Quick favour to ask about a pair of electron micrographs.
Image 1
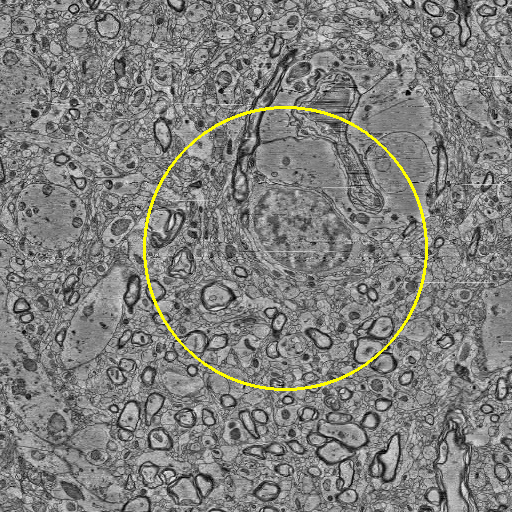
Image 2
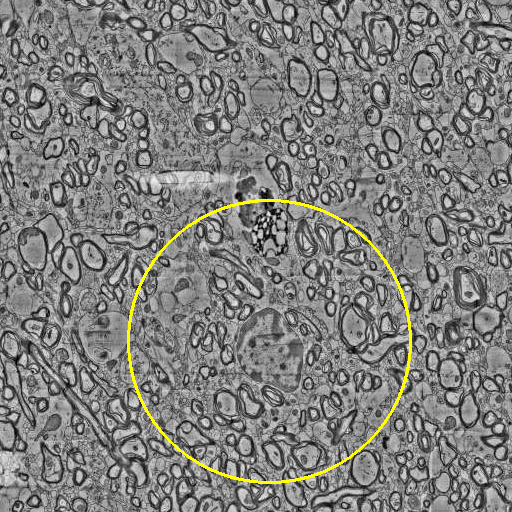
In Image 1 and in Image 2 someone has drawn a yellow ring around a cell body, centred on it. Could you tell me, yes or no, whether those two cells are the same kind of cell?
no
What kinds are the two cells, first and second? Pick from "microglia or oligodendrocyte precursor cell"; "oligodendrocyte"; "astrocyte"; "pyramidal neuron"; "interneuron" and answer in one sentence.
The second picture holds a microglial cell or oligodendrocyte precursor cell in its ring, and the first holds an oligodendrocyte.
